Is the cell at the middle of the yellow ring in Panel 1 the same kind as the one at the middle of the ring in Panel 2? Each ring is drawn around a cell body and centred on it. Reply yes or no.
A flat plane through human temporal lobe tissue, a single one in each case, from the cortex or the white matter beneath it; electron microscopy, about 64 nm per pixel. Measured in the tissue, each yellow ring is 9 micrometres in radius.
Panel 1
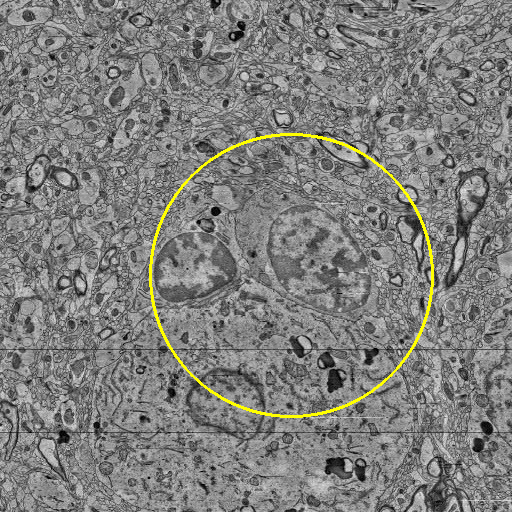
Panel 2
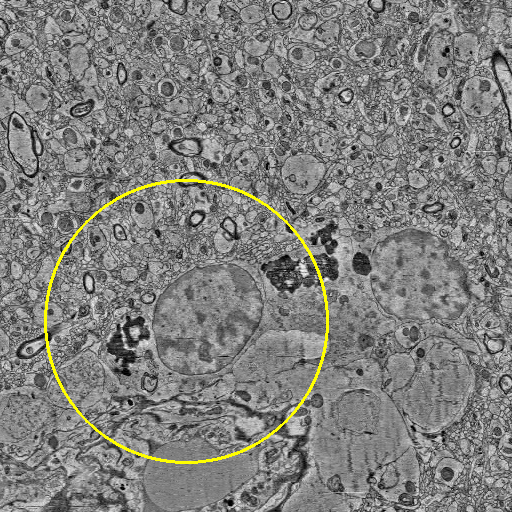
yes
